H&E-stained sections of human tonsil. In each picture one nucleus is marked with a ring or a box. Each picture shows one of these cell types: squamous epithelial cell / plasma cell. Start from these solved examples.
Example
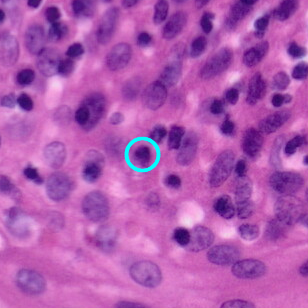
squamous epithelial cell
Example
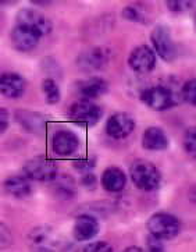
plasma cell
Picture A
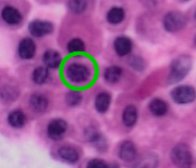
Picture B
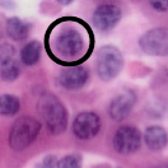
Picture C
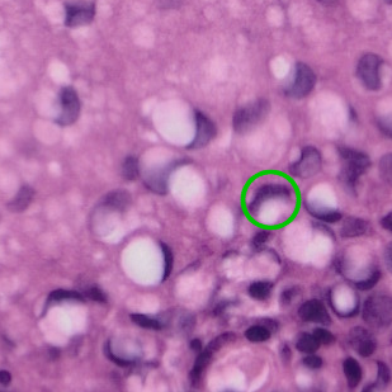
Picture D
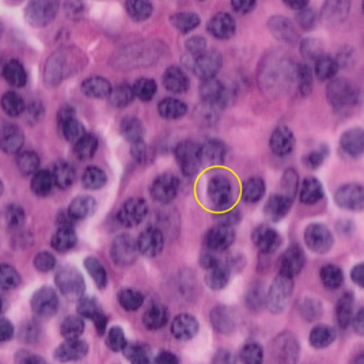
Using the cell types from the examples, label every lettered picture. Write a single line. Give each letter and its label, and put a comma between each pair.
A plasma cell, B plasma cell, C squamous epithelial cell, D plasma cell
